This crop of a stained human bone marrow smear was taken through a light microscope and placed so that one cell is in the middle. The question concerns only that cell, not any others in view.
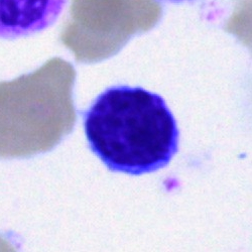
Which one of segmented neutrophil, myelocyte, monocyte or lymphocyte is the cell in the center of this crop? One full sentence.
In this crop, the cell at the very middle is a lymphocyte.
